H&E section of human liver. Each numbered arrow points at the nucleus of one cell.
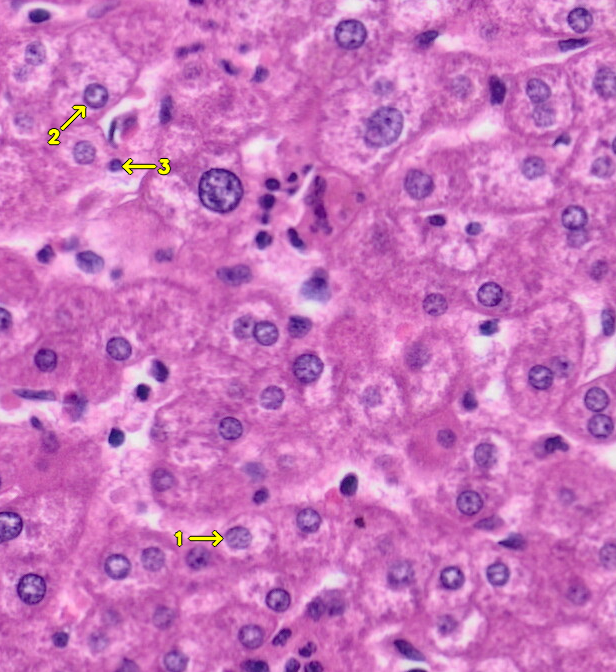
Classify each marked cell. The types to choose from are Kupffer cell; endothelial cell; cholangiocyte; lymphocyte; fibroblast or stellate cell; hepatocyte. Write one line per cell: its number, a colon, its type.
1: hepatocyte
2: hepatocyte
3: lymphocyte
